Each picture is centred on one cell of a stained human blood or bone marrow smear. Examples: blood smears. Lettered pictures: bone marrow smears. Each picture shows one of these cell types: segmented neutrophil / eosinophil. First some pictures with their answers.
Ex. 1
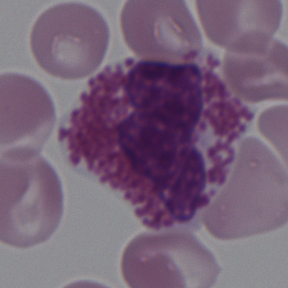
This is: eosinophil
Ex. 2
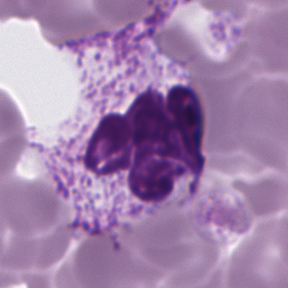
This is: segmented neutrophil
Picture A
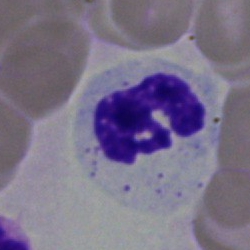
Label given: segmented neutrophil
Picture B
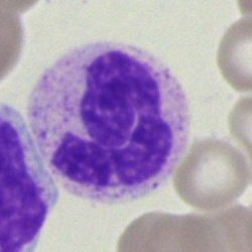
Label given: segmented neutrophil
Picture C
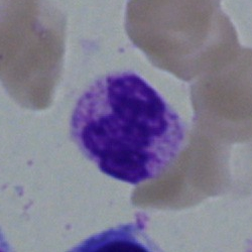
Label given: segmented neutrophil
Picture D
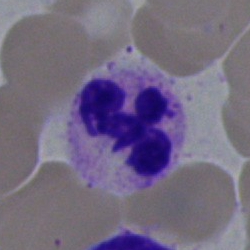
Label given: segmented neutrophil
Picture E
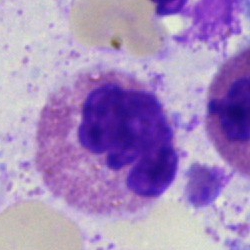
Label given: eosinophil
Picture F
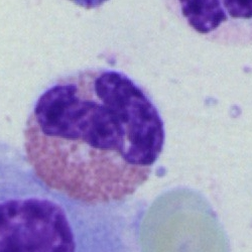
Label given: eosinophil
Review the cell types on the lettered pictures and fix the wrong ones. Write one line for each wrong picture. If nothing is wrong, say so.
All labels are correct.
